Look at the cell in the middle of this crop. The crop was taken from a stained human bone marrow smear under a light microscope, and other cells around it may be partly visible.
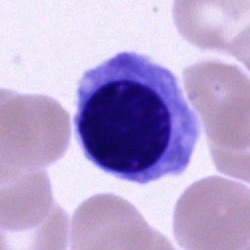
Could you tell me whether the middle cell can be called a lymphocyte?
no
